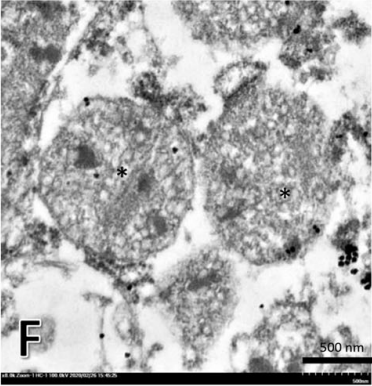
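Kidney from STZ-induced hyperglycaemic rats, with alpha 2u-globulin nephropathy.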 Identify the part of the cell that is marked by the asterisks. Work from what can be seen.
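Rounded organelles with a pale, disorganised interior. Internal membranes fragmented rather than in orderly rows.
Conclusion: mitochondria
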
